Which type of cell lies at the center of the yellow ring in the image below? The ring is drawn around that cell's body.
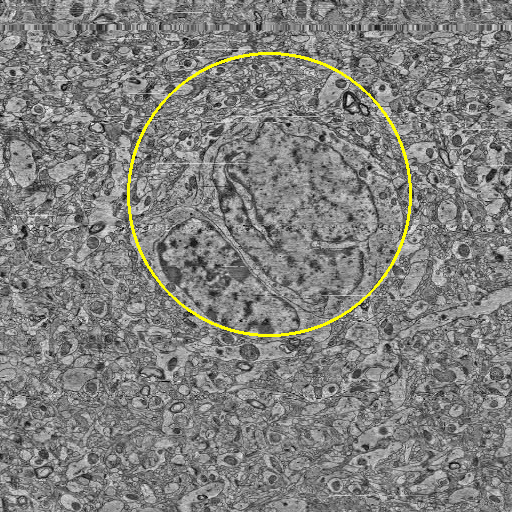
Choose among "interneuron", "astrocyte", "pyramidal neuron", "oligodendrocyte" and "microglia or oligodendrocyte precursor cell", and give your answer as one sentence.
The cell body at the center belongs to an interneuron.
